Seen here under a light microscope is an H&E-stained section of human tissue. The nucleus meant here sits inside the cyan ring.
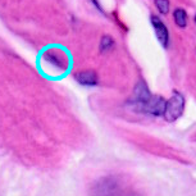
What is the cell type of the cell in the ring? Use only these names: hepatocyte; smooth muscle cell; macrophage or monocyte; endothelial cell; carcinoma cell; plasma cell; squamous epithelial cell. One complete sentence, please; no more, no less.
Microscopically, the cell in the ring is categorized as a smooth muscle cell.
